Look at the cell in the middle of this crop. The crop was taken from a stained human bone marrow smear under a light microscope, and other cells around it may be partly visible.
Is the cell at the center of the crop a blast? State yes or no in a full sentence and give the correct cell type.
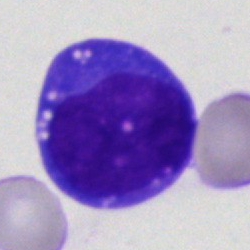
Yes, the cell in the exact middle is a blast.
